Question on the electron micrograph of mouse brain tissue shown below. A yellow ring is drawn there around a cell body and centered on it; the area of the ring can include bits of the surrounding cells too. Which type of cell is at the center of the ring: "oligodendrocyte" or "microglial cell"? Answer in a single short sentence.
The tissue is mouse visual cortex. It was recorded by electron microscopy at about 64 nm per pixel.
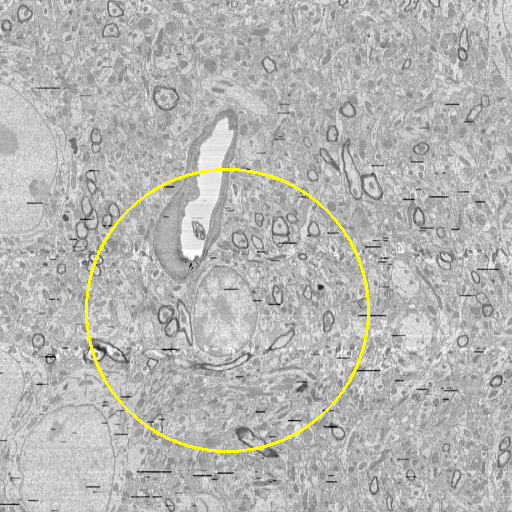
The ring is centered on an oligodendrocyte.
